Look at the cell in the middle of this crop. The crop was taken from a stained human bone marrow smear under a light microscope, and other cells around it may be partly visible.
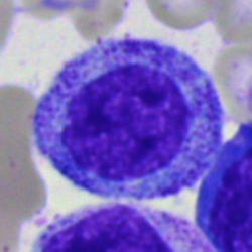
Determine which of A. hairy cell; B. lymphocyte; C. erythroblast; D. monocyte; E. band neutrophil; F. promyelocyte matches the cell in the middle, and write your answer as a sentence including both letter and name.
The cell in the middle is a promyelocyte, and so option F is correct.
